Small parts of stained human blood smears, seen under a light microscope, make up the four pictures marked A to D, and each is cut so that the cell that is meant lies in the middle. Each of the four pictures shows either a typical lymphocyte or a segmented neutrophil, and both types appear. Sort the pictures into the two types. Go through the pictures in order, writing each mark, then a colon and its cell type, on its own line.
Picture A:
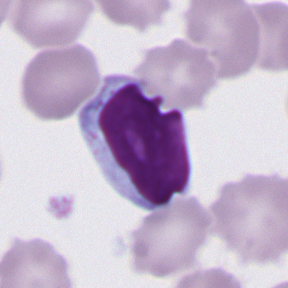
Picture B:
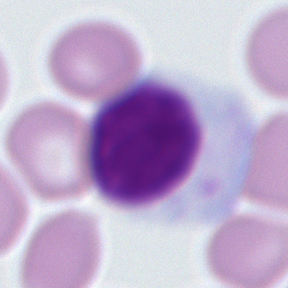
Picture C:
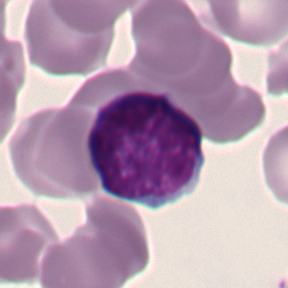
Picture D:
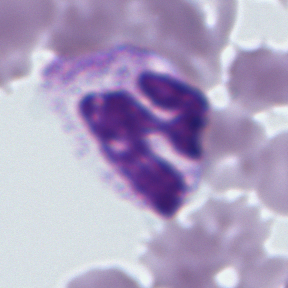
A: typical lymphocyte
B: typical lymphocyte
C: typical lymphocyte
D: segmented neutrophil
